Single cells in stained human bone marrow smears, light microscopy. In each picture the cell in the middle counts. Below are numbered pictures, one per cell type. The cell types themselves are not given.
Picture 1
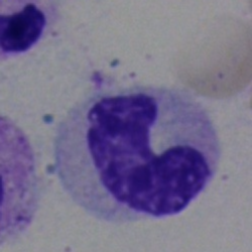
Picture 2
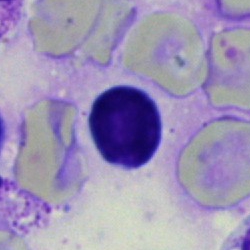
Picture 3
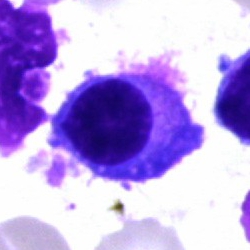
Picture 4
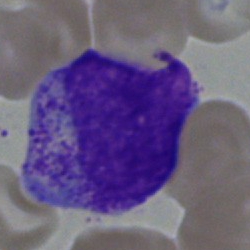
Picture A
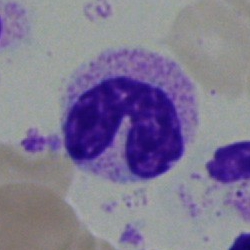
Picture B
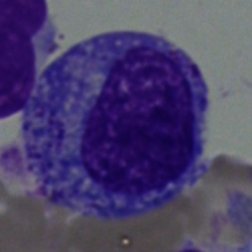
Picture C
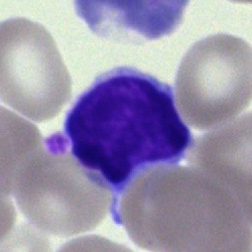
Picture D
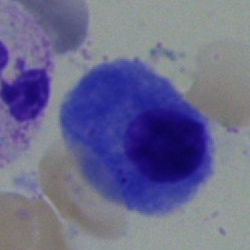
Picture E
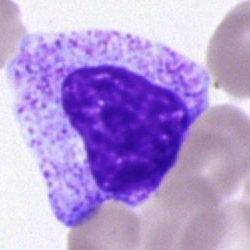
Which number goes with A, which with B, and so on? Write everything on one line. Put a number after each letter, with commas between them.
A 1, B 4, C 2, D 3, E 4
